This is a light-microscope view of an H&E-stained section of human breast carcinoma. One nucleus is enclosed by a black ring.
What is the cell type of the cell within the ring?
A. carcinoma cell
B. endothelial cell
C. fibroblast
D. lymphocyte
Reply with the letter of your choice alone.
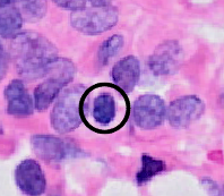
D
